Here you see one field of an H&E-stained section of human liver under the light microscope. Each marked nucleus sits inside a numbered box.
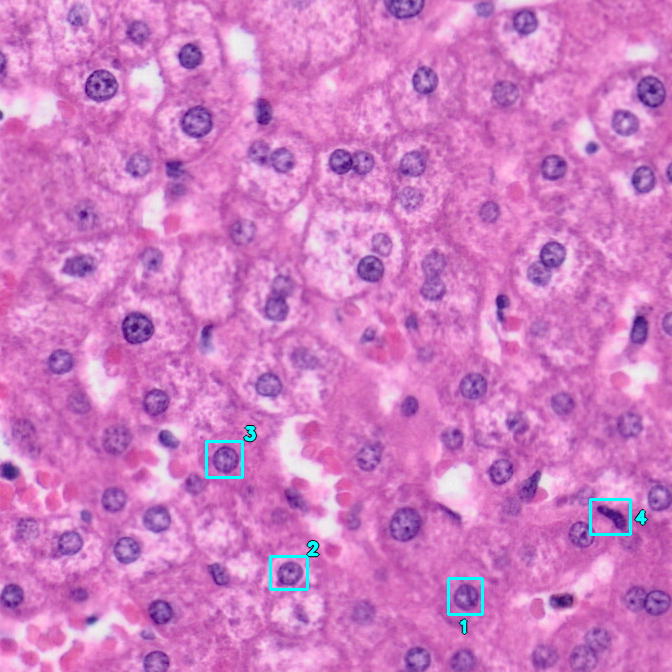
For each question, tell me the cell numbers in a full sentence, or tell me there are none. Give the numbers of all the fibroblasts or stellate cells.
Among the marked cells, cell number 4 alone is a fibroblast or stellate cell.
